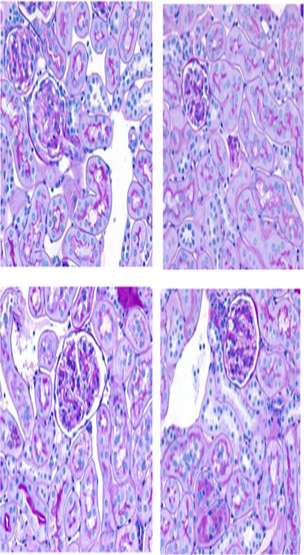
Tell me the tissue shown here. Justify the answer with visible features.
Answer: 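Round tufts of capillaries surrounded by a thin capsule and a clear space. Many cross-sectioned tubules with cuboidal epithelium around a lumen.
Conclusion: kidney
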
